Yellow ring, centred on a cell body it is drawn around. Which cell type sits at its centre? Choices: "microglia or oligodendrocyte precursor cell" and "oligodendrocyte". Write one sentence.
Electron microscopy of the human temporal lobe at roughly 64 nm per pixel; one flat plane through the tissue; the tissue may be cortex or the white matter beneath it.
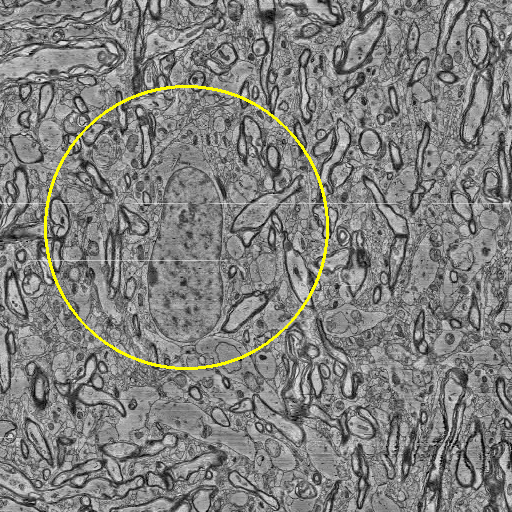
At the centre of the ring sits a microglial cell or oligodendrocyte precursor cell.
